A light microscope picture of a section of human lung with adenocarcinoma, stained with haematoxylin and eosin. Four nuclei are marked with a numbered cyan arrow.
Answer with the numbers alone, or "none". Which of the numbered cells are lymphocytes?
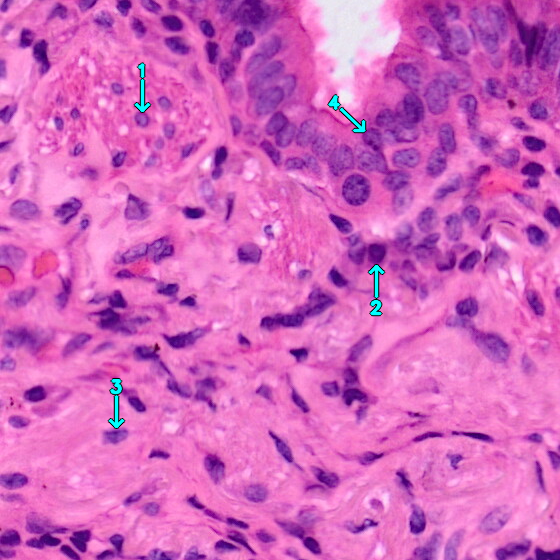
3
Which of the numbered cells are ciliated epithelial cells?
4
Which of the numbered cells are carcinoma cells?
none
